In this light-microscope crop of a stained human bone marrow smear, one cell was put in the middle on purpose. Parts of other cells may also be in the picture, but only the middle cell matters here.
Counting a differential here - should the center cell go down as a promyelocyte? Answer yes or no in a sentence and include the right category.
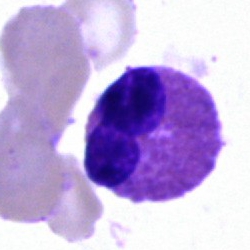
No, the middle cell is not a promyelocyte, it being an eosinophil.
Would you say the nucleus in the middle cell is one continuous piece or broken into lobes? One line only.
We find a nucleus divided into at least two lobes.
